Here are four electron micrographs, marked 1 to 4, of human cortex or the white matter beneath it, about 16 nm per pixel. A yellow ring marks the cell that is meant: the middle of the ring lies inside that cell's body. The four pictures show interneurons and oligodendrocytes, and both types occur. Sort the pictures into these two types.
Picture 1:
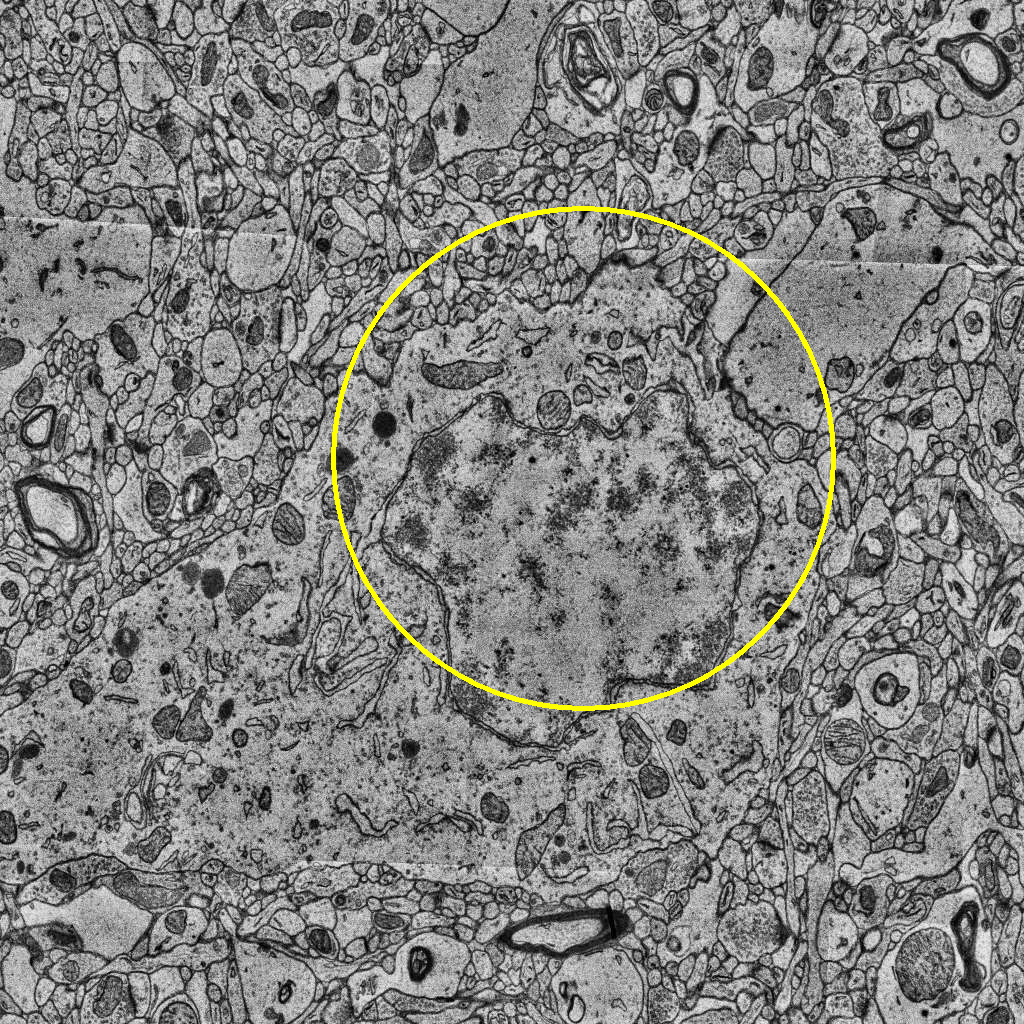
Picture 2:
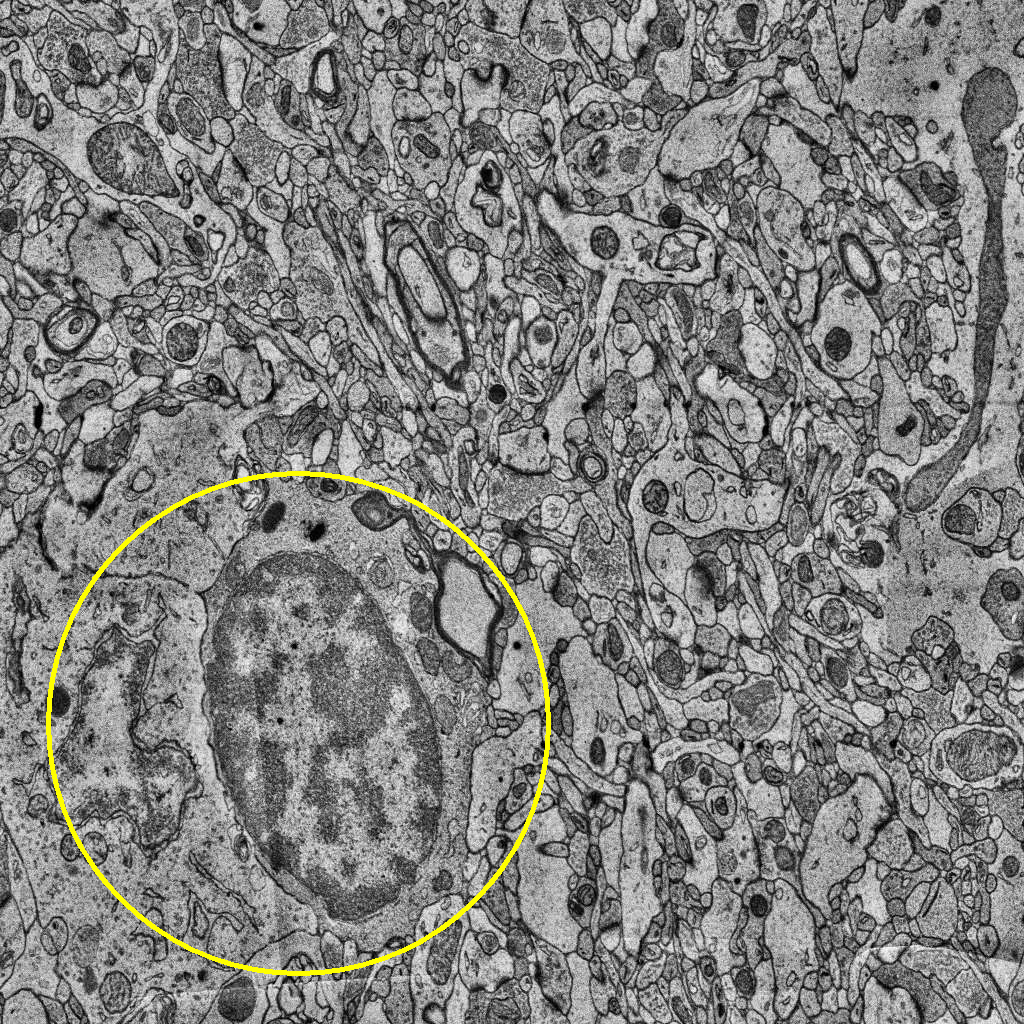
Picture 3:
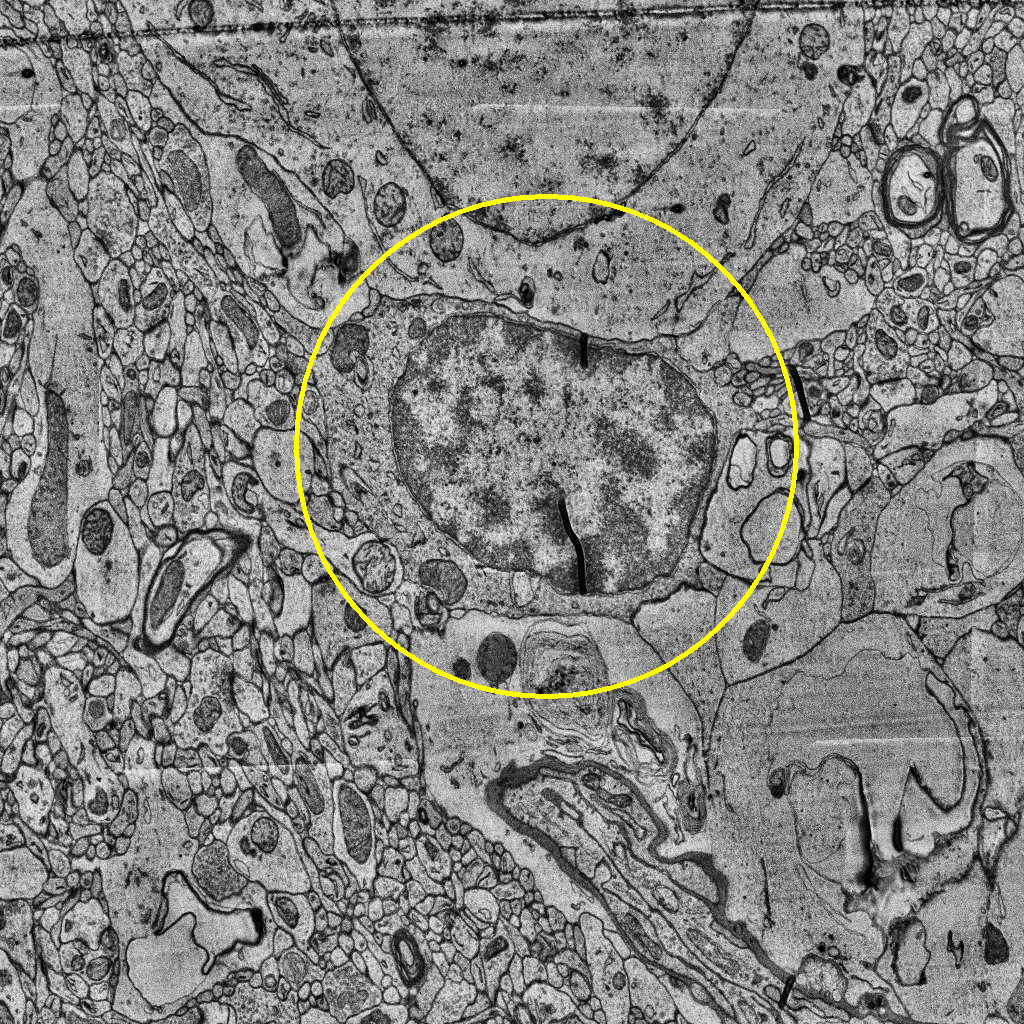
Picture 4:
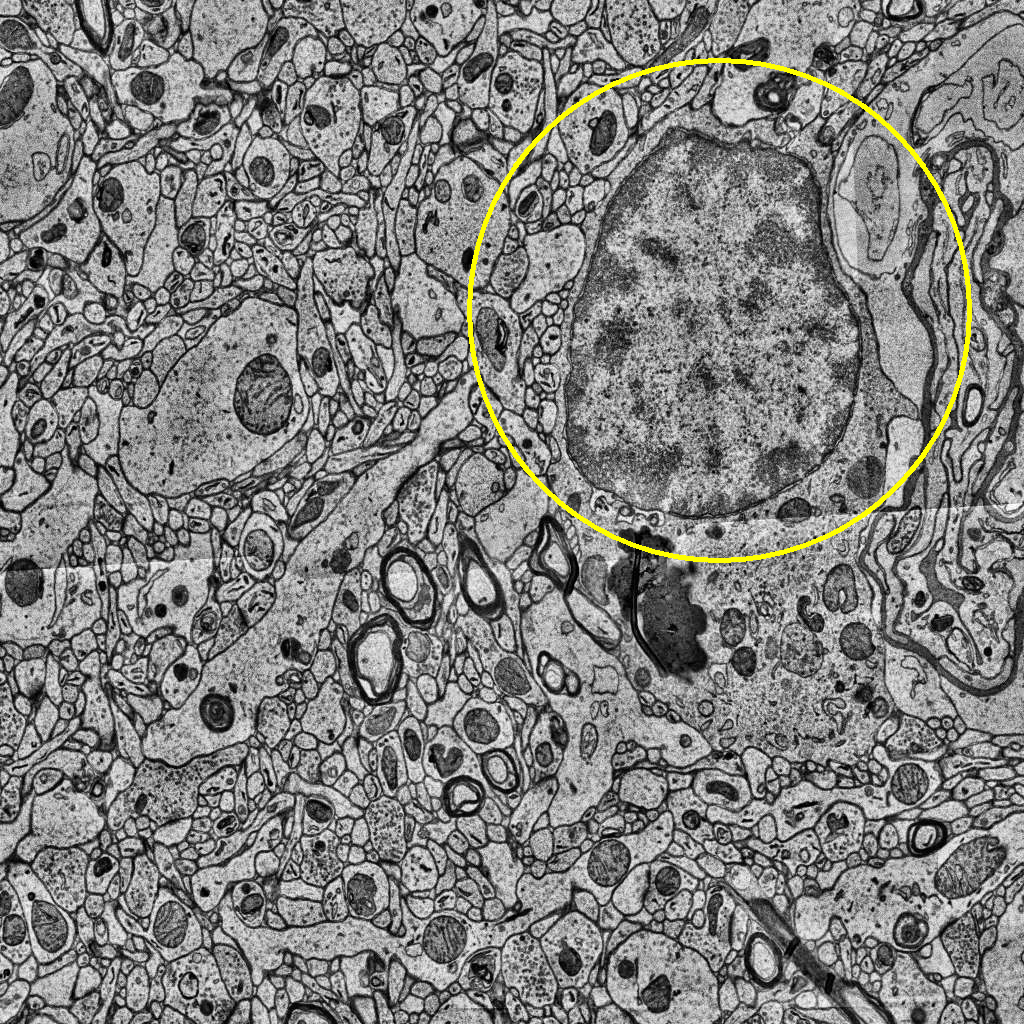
Picture 1 shows an interneuron, and pictures 2, 3 and 4 show oligodendrocytes.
